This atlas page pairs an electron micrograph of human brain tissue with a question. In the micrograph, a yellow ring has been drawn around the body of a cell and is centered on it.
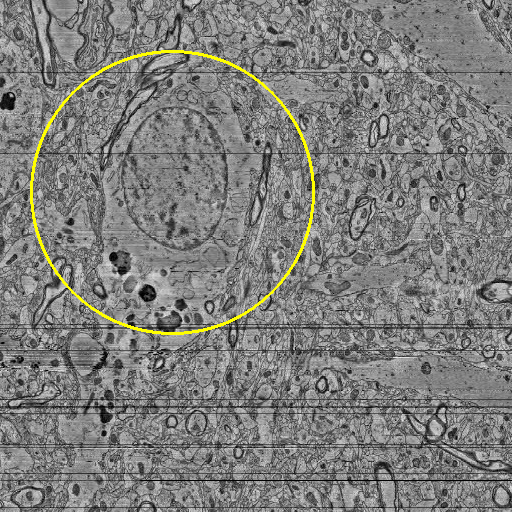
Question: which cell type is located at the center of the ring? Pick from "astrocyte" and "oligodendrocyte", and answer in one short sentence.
Located at the center of the ring is an astrocyte.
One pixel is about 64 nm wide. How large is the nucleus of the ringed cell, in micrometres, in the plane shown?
In this plane, the nucleus is roughly 9 by 7 micrometres.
